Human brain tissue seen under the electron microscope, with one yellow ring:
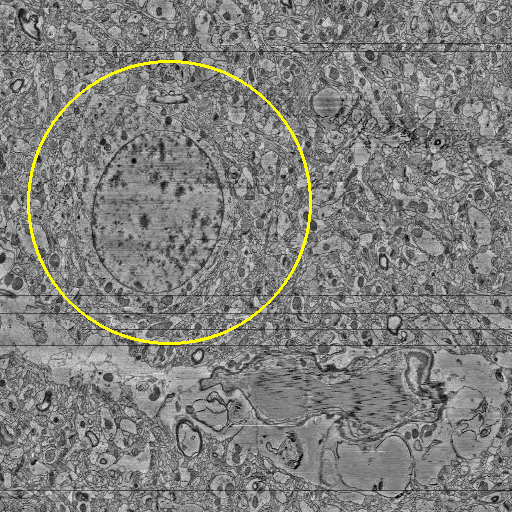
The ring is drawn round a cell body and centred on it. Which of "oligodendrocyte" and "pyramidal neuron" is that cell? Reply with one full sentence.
The picture shows a pyramidal neuron at the very centre of the yellow ring.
